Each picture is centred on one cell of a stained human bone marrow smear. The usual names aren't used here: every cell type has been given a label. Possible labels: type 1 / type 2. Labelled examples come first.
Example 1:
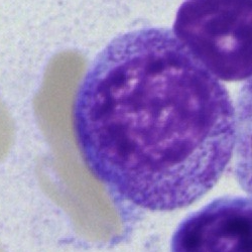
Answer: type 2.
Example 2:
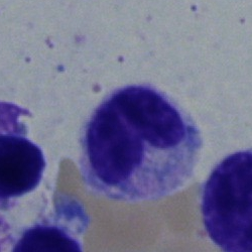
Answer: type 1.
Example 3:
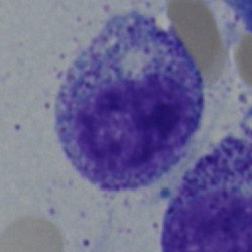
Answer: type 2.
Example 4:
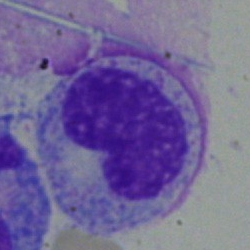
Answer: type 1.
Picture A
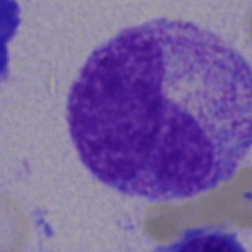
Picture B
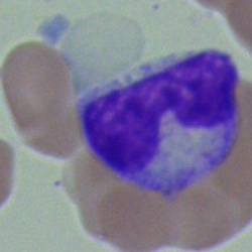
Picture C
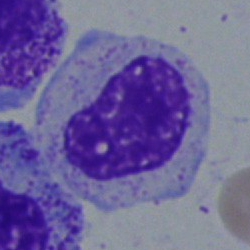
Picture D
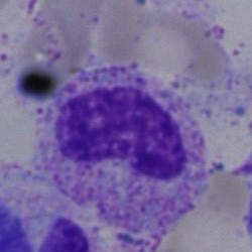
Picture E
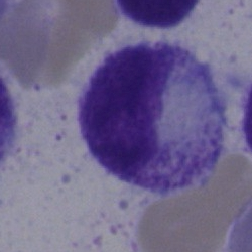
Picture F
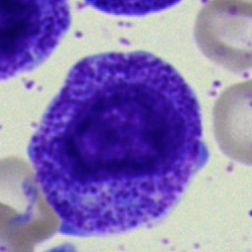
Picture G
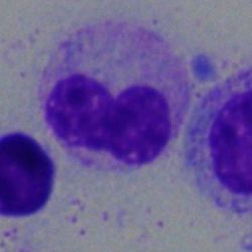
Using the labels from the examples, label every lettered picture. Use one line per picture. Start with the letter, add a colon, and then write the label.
A: type 1.
B: type 1.
C: type 1.
D: type 1.
E: type 1.
F: type 2.
G: type 1.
